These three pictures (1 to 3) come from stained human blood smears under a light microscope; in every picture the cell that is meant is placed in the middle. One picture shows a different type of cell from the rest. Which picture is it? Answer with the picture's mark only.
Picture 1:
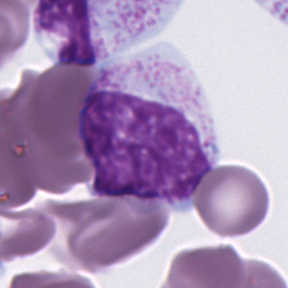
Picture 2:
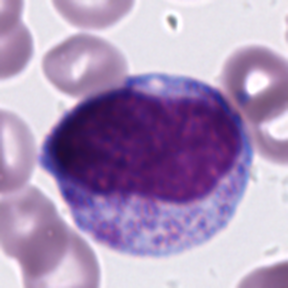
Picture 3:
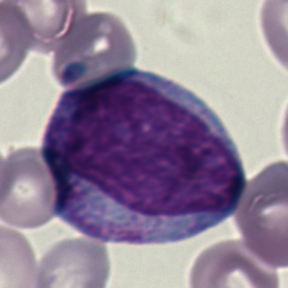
1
